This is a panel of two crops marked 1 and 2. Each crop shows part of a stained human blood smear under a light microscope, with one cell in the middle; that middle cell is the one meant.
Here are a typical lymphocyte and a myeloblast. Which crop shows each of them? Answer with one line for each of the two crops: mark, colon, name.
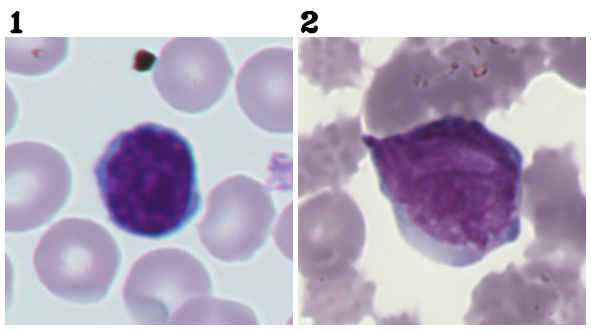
1: typical lymphocyte
2: myeloblast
